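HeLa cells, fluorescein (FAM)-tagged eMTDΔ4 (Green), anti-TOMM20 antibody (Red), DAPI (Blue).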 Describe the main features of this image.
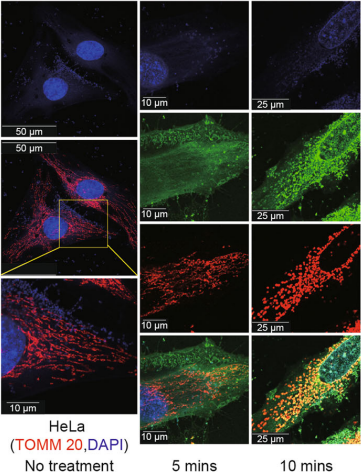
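In cells without green, the red mitochondria form long branched filaments radiating through the cytoplasm from the nucleus. In cells with green, the green lies diffusely and as fine dots throughout the cytoplasm, with some over the nucleus. In these cells the red mitochondria appear as short fragments and rounded dots rather than long filaments. Where green and red overlap the merged image shows yellow to orange dots.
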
